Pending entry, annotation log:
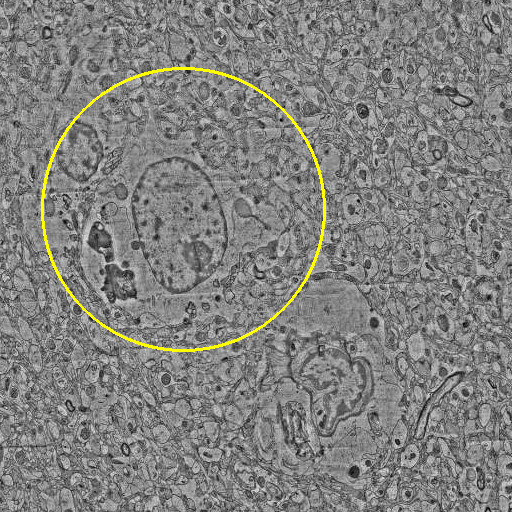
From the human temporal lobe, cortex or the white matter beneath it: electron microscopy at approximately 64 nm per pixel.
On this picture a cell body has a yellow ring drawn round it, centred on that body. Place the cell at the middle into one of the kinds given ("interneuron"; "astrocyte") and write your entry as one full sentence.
The cell body at the middle of the yellow ring belongs to an astrocyte.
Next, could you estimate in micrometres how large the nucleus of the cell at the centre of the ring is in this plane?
Approximately 9 x 6 micrometres in this plane.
